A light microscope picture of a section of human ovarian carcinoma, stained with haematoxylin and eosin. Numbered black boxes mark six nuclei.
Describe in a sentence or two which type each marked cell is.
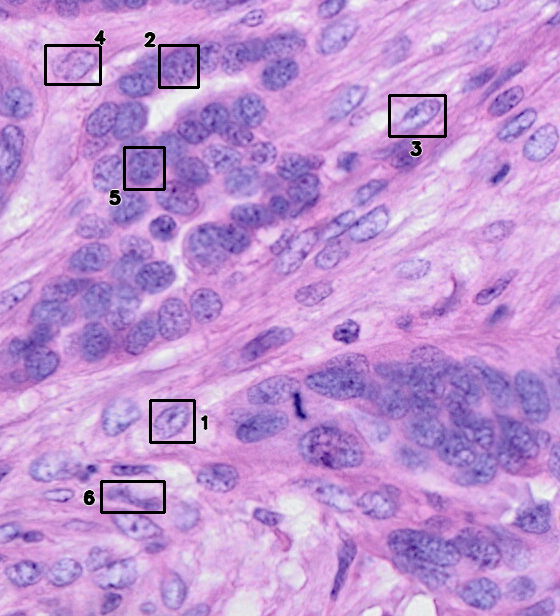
Cell 1 is a fibroblast, cell 2 is a carcinoma cell, cell 3 is a fibroblast, cell 4 is a fibroblast, cell 5 is a carcinoma cell and cell 6 is a fibroblast.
